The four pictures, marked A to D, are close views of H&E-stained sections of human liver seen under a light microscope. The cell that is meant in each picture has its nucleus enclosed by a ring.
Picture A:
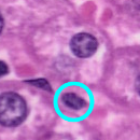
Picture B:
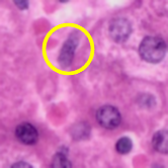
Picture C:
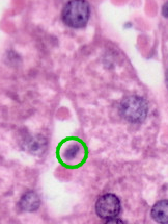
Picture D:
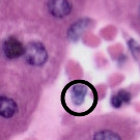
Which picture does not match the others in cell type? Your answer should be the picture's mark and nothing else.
B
